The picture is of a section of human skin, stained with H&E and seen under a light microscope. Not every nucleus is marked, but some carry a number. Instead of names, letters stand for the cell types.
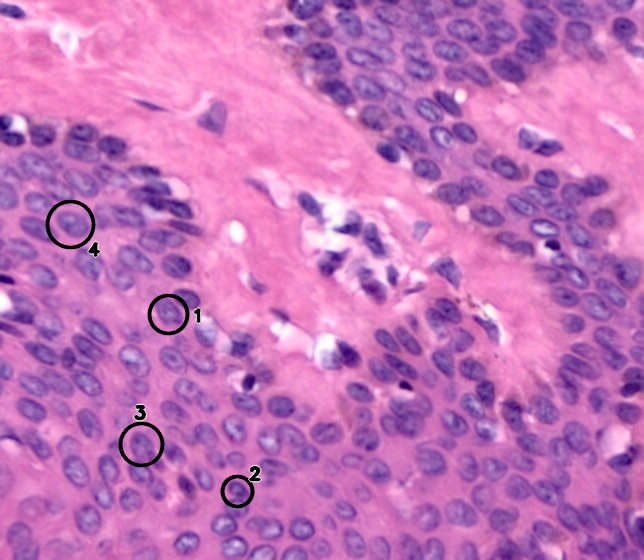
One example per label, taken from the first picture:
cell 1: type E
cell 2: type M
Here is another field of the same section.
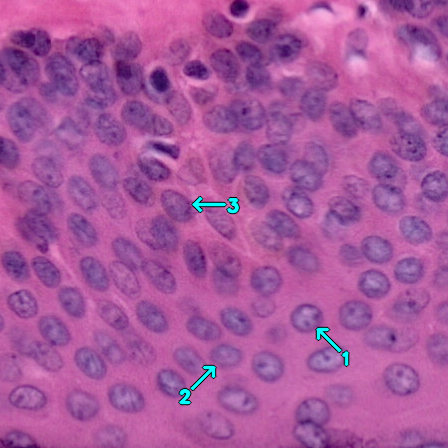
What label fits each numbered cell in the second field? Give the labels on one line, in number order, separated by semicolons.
type M; type M; type E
